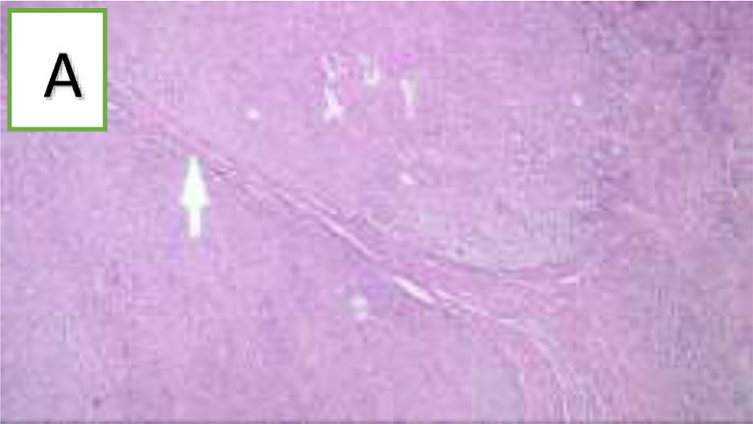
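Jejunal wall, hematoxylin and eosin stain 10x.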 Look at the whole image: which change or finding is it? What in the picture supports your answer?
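Diffuse infiltration. The field is filled by a sheet of densely cellular tissue without normal layered architecture. Only a thin pink fibrous band crosses the dense cellular sheet.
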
